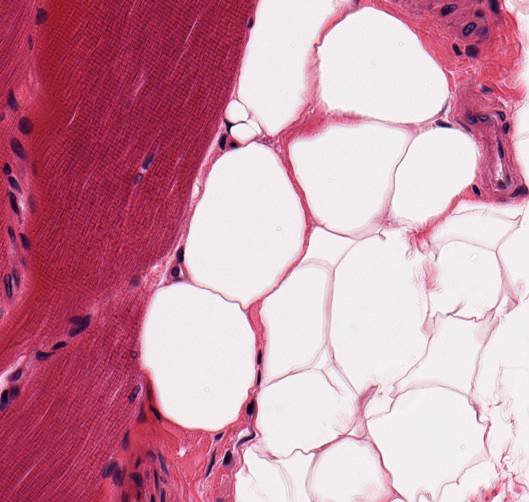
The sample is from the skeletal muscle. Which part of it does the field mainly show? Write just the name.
fat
